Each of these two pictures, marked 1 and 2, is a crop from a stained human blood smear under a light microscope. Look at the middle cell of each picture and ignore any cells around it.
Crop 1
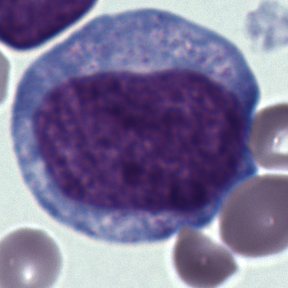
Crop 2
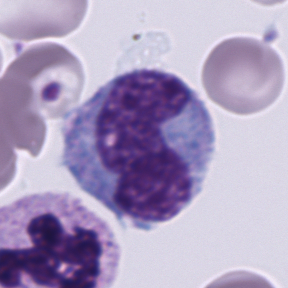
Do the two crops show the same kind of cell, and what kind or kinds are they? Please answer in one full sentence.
No, a promyelocyte is what occupies crop 1, and a monocyte is what occupies crop 2.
